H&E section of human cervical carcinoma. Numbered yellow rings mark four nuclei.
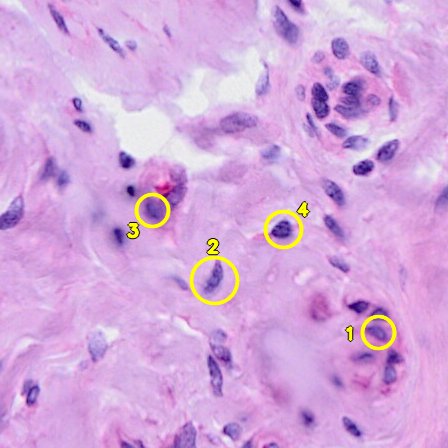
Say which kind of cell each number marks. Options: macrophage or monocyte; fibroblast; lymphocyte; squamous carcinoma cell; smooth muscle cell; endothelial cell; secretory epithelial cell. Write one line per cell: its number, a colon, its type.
1: smooth muscle cell
2: fibroblast
3: endothelial cell
4: lymphocyte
